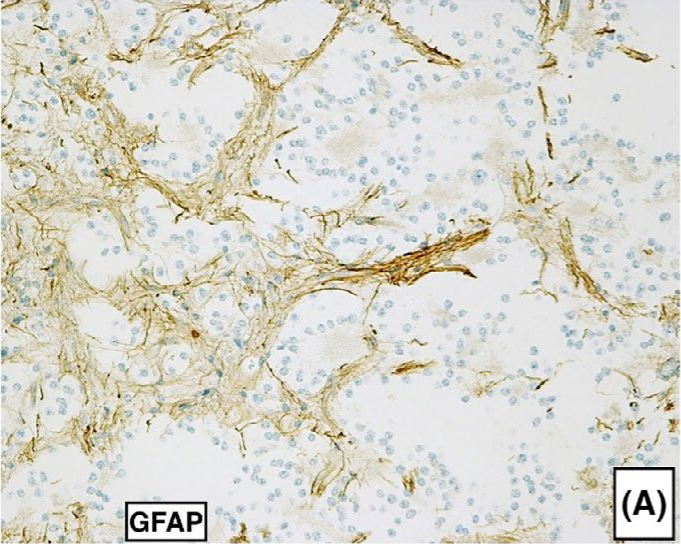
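Tumor tissue made of sheets of small, uniform cells with round blue nuclei and clear cytoplasm, lying in an open, loose background. Between the sheets runs a network of thin brown-stained fibrillary processes, forming bands and strands that partly separate the groups of cells. Most tumor cells themselves are unstained.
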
